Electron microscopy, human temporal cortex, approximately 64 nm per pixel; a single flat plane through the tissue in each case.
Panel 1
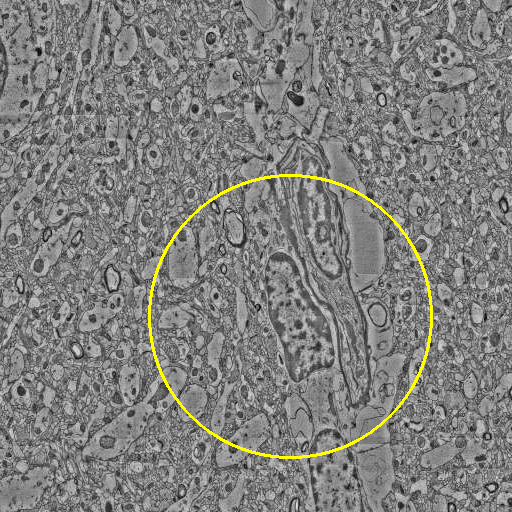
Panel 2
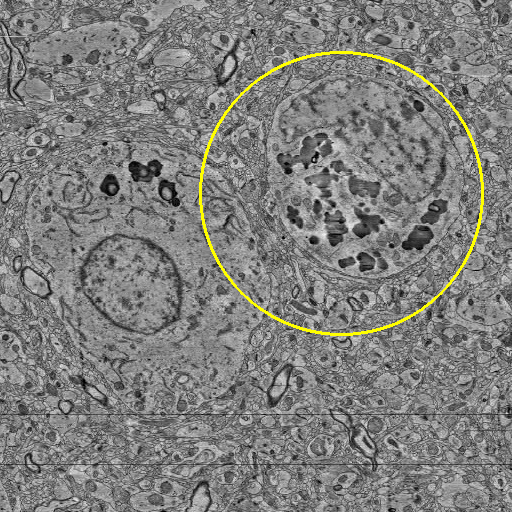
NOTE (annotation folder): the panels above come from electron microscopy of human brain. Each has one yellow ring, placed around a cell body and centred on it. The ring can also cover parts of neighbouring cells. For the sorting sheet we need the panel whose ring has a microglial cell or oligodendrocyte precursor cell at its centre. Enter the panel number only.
1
